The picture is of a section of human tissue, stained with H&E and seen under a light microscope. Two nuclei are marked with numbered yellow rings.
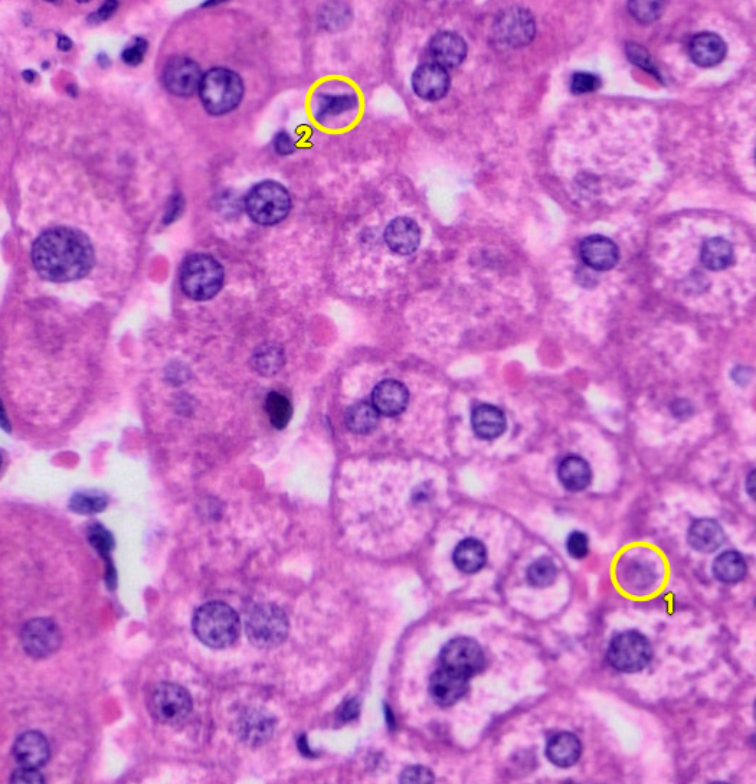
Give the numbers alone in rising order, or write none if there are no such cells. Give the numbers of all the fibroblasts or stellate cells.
2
